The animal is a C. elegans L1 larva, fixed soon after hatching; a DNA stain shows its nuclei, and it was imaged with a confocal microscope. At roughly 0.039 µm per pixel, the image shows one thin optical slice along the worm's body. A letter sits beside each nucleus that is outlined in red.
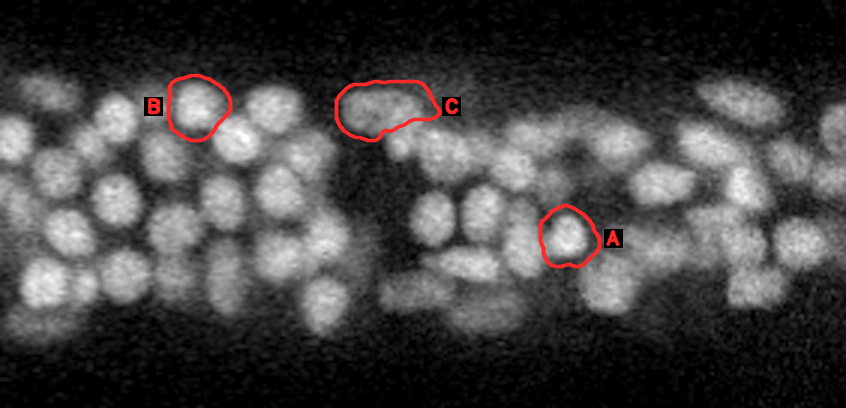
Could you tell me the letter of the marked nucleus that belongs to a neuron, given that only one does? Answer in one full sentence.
Of the marked nuclei, B is the one in a neuron.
